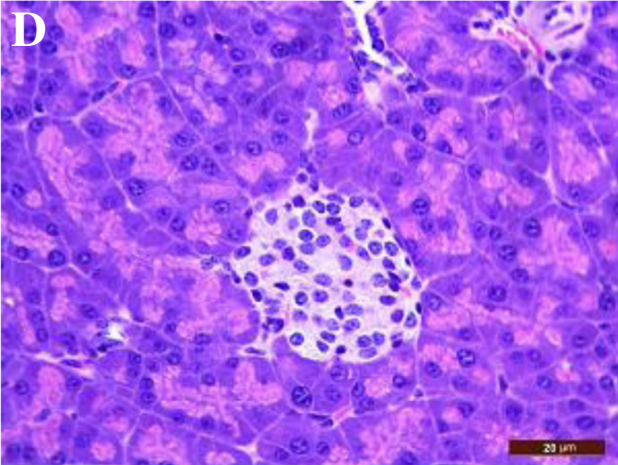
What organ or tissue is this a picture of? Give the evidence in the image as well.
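A rounded, pale-staining cluster of small cells lies in the centre. The cluster is surrounded by larger, darker-staining cells arranged in acini.
Islets of Langerhans.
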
